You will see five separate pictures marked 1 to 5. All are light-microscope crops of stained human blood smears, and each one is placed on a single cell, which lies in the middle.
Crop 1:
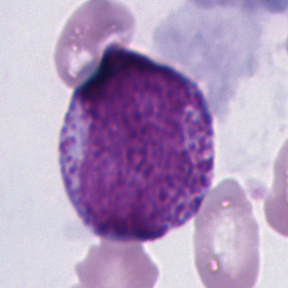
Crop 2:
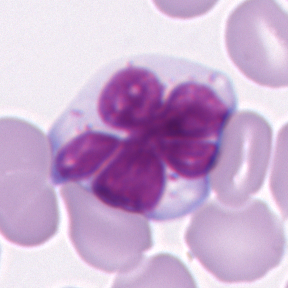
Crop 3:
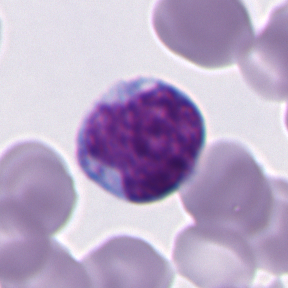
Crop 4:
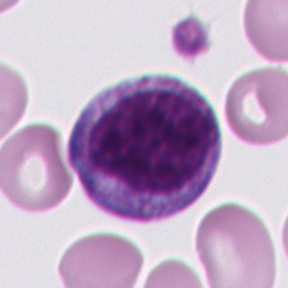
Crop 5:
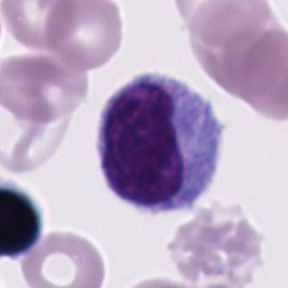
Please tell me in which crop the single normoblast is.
5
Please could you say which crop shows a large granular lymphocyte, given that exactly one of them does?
2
